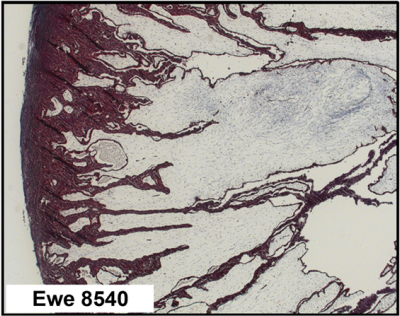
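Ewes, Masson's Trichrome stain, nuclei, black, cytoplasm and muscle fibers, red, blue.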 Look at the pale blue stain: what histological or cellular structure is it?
Extracellular matrix components.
